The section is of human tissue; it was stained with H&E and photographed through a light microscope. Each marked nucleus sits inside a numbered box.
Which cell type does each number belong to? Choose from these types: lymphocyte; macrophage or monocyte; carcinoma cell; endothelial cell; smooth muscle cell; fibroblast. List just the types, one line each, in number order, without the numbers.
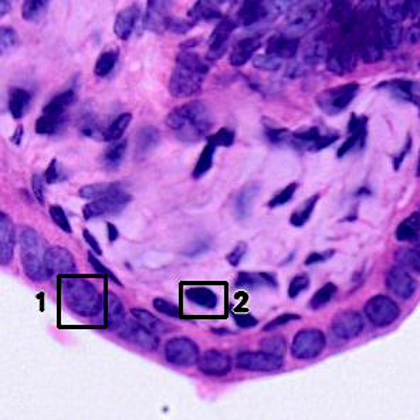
carcinoma cell
lymphocyte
